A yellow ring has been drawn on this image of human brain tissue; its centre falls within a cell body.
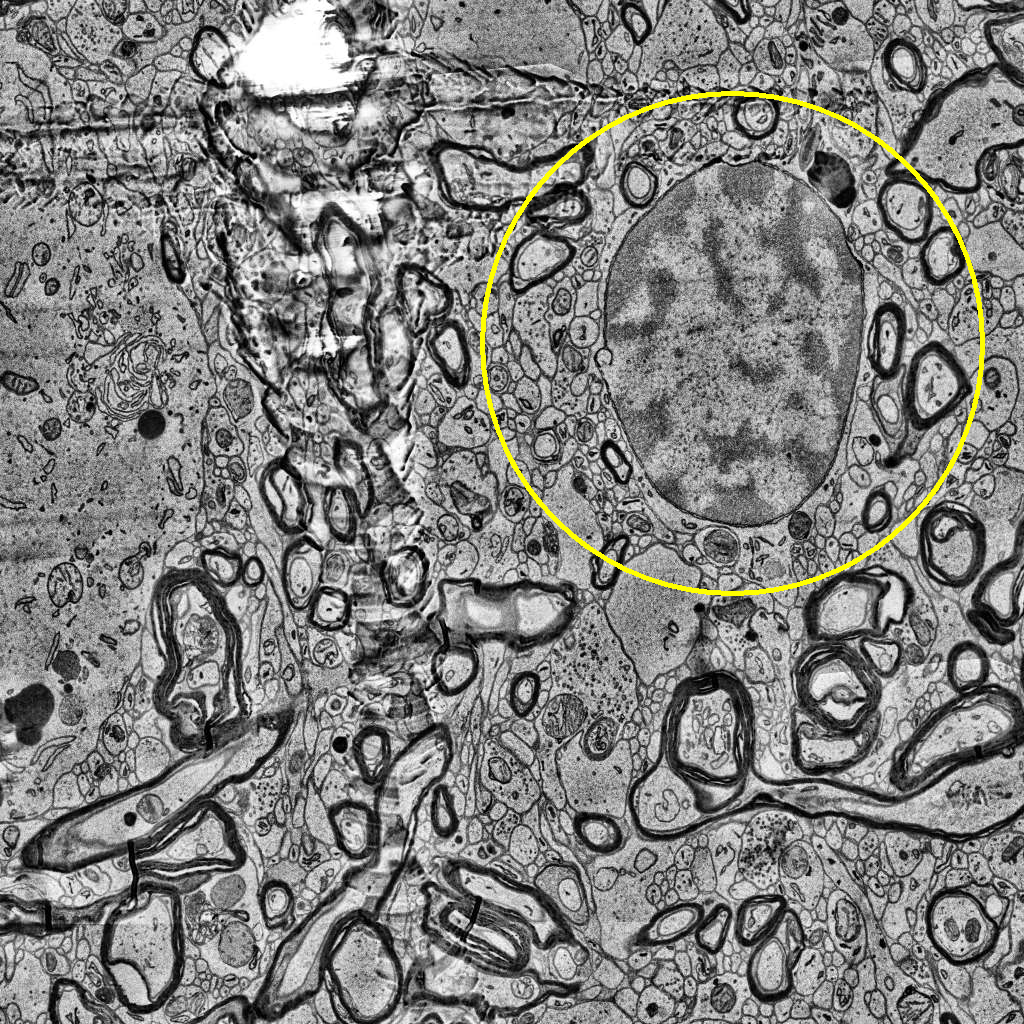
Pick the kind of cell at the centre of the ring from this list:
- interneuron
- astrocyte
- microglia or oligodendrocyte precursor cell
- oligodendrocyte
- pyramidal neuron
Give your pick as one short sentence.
The centre of the ring holds a microglial cell or oligodendrocyte precursor cell.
